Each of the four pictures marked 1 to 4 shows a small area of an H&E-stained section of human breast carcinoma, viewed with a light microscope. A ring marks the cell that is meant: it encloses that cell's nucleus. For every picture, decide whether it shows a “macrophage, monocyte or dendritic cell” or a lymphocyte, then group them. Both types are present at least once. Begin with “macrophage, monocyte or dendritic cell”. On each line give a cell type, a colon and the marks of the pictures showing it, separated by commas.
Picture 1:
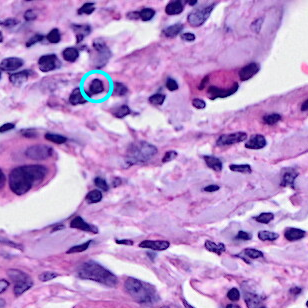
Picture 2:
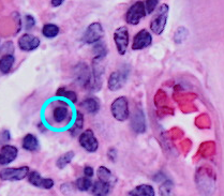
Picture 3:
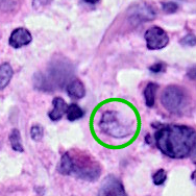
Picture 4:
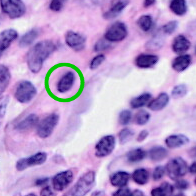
macrophage, monocyte or dendritic cell: 3
lymphocyte: 1, 2, 4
